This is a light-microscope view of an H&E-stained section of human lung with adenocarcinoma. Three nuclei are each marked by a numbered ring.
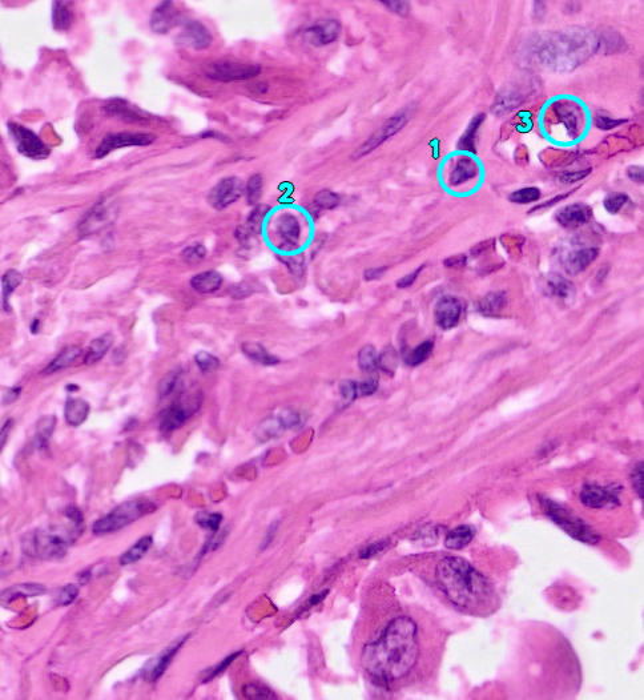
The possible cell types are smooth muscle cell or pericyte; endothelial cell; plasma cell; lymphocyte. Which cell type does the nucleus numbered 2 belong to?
lymphocyte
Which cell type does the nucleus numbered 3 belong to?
endothelial cell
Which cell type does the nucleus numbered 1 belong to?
lymphocyte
